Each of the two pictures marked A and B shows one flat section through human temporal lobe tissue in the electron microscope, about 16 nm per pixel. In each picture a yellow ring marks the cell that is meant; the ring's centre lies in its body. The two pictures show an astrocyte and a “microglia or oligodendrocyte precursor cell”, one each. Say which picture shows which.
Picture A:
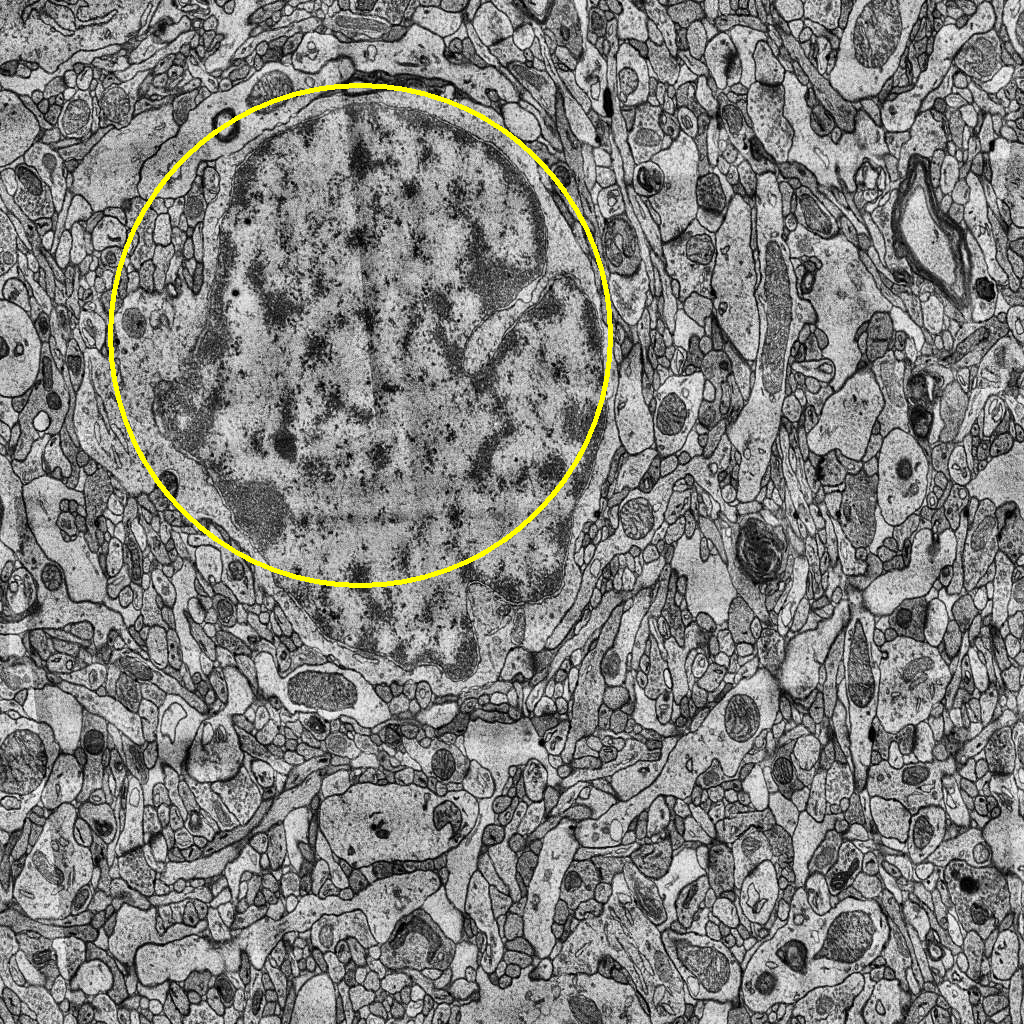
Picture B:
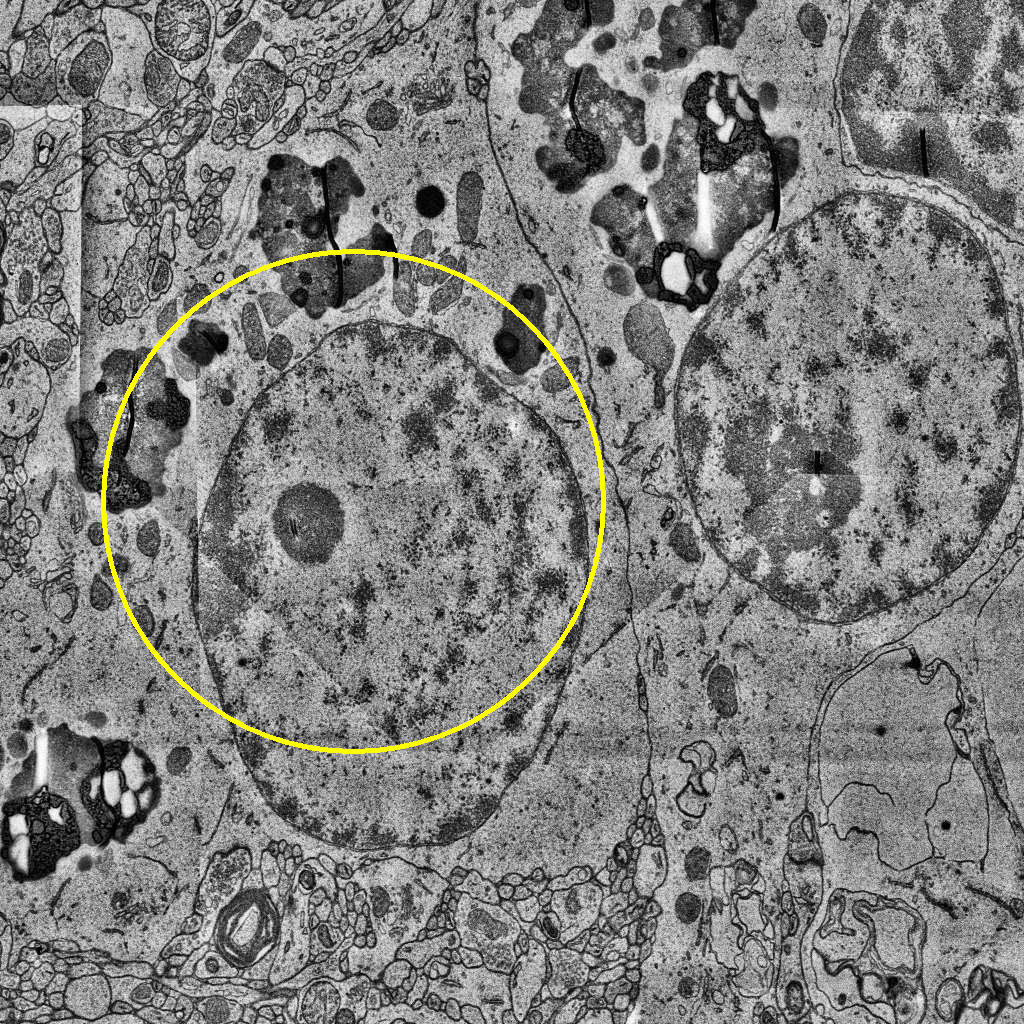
In picture A the cell is a “microglia or oligodendrocyte precursor cell”; in picture B, an astrocyte.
